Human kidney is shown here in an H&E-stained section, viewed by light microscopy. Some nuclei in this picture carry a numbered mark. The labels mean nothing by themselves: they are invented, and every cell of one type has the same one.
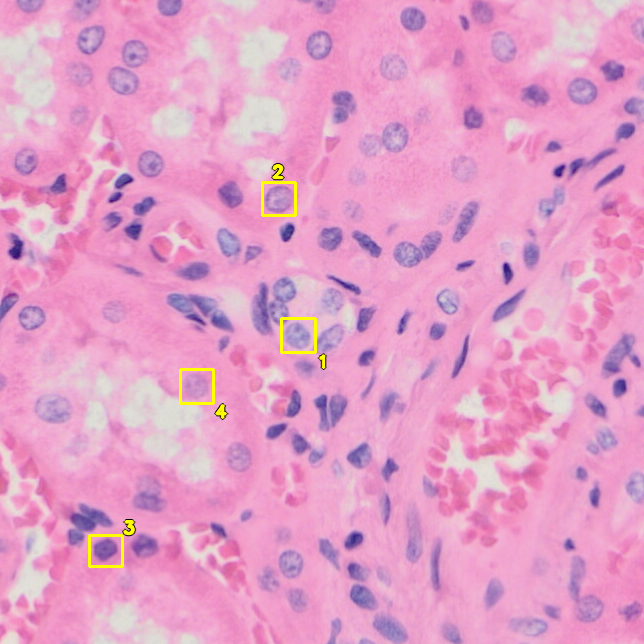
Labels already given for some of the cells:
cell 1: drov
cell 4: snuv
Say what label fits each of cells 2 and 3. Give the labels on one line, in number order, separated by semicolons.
snuv; snuv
